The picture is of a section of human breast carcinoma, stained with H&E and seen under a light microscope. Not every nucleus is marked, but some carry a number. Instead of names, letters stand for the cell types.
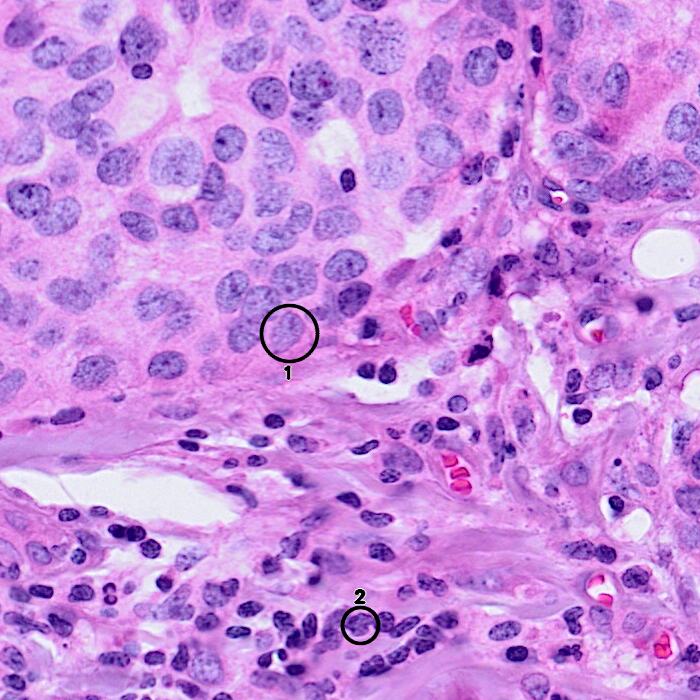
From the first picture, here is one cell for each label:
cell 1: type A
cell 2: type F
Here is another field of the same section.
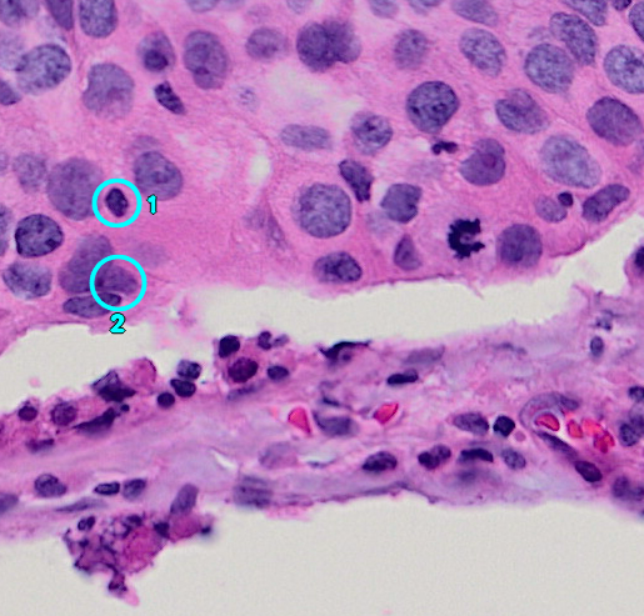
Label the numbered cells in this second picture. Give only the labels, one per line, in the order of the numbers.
type F
type A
